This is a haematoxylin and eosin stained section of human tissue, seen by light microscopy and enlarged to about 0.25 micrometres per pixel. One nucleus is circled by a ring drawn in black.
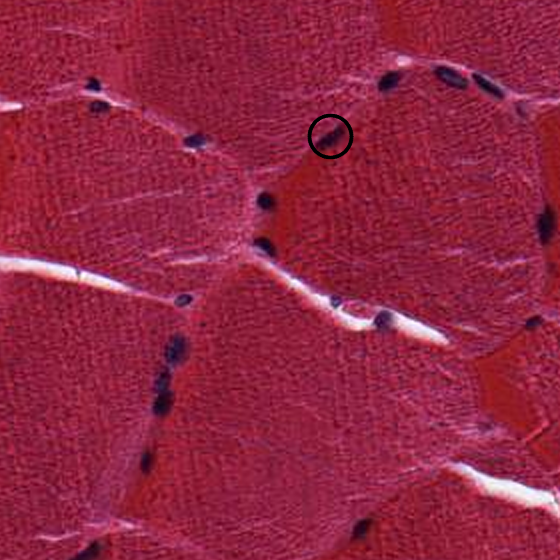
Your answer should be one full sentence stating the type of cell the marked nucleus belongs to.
The nucleus with the mark belongs to a skeletal muscle fibre.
